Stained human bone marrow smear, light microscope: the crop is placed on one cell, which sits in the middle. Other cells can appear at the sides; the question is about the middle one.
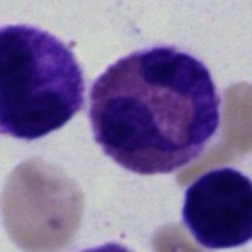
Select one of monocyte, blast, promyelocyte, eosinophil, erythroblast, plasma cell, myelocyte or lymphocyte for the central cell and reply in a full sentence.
The cell occupying the middle of the crop is an eosinophil.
